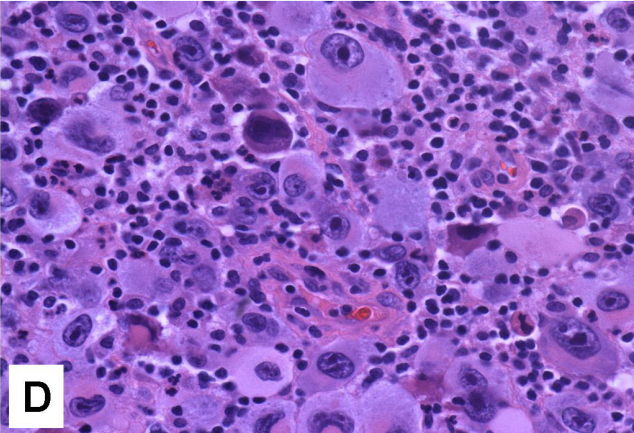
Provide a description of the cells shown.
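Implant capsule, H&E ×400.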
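Large pleomorphic tumour cells lie scattered among many small inflammatory cells. The large cells have abundant pale pink to lilac cytoplasm and big, irregular nuclei that vary greatly in size and shape; several nuclei are lobed or folded, and many contain prominent dark nucleoli. One cell has a very large, dark, hyperchromatic nucleus. Between them lie densely packed small cells with round, dark nuclei and scant cytoplasm, making a mixed inflammatory background. A few thin vessels with red cells are present. The contrast between the huge atypical cells and the small background cells is striking.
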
